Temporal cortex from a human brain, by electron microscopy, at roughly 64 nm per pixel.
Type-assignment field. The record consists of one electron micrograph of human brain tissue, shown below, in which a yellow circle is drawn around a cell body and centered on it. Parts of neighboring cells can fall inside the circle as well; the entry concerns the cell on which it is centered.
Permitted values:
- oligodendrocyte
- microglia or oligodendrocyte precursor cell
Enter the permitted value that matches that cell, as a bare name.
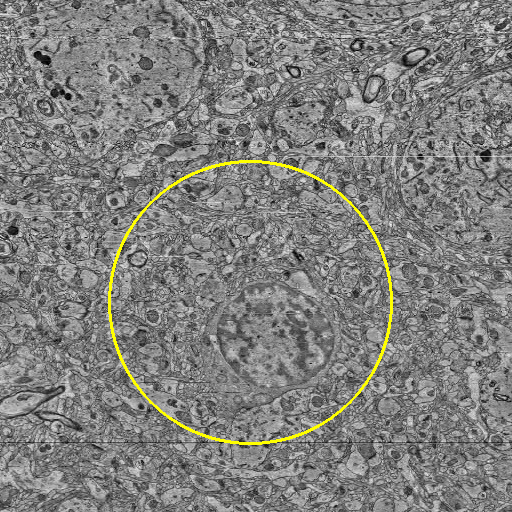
oligodendrocyte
